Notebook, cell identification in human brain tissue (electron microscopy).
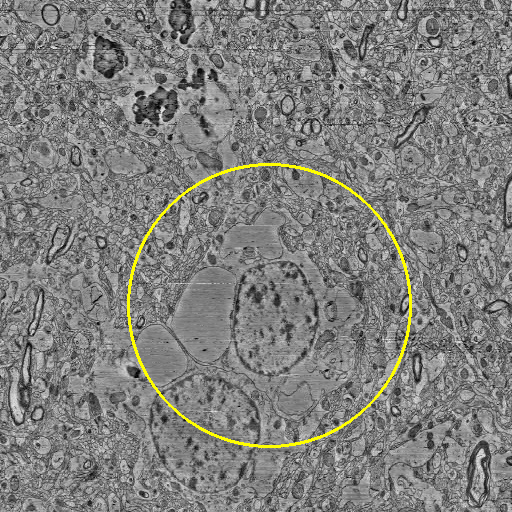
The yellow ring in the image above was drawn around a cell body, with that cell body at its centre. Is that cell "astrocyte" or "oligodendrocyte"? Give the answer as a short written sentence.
The cell in the ring is an astrocyte.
